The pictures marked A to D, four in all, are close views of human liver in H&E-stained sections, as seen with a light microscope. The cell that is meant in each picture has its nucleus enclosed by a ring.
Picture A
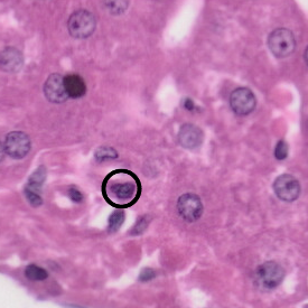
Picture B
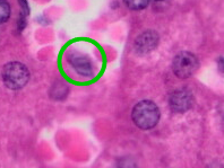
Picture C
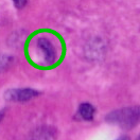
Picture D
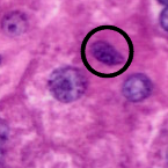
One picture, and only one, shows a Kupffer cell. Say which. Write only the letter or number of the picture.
B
